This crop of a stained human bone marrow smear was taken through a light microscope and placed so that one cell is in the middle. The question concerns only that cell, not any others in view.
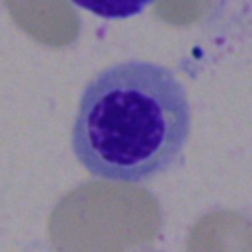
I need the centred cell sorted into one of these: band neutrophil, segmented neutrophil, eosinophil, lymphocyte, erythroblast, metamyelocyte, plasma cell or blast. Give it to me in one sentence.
Classified as an erythroblast is the cell in the middle of this crop.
